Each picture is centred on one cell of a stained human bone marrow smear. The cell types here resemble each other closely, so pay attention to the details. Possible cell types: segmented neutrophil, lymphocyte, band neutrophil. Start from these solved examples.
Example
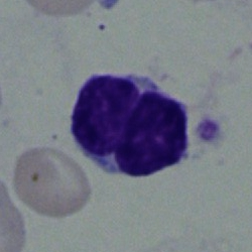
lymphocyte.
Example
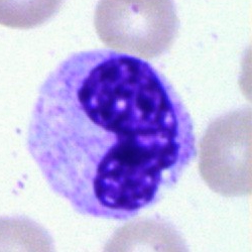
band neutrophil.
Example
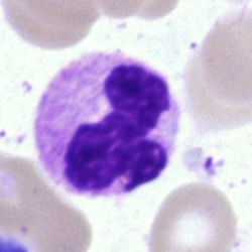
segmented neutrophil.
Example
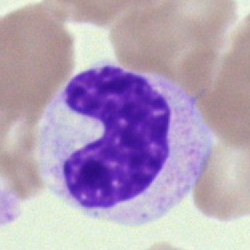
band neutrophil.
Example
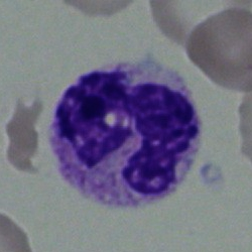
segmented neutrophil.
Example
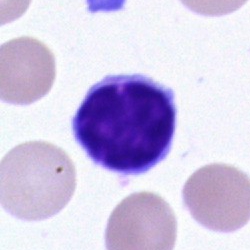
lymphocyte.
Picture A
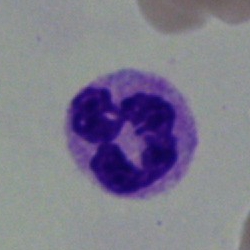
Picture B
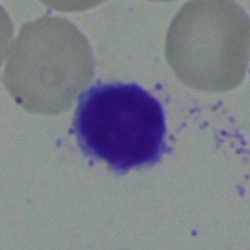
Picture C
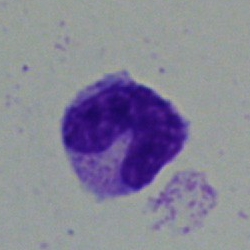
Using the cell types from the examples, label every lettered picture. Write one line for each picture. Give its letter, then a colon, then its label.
A: segmented neutrophil.
B: lymphocyte.
C: band neutrophil.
